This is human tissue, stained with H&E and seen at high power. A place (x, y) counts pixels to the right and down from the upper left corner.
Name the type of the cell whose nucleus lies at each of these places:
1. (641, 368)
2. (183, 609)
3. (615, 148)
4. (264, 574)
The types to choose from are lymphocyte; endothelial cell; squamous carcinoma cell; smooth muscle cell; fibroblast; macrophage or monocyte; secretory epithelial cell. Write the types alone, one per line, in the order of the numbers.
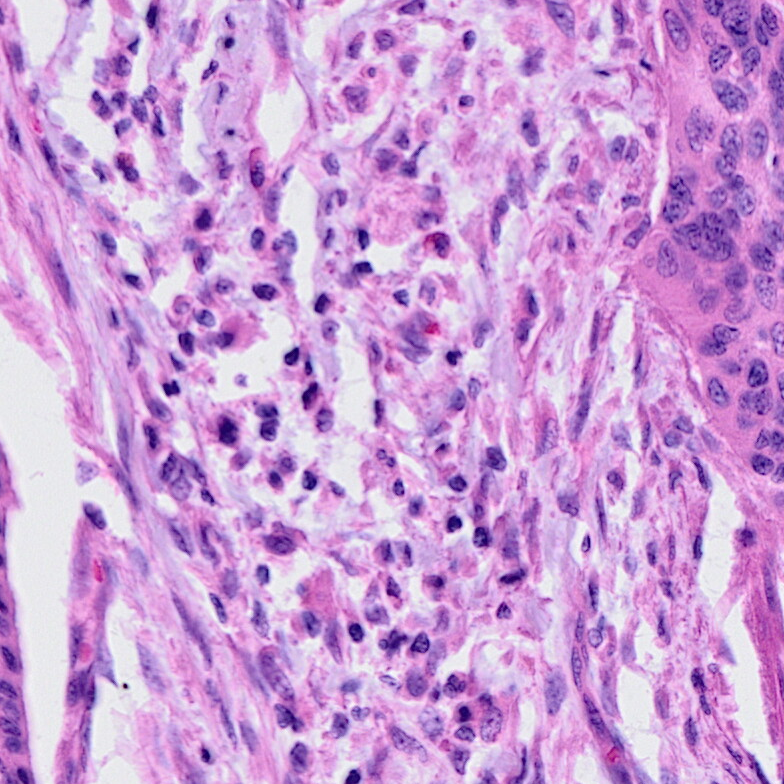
fibroblast
fibroblast
fibroblast
lymphocyte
